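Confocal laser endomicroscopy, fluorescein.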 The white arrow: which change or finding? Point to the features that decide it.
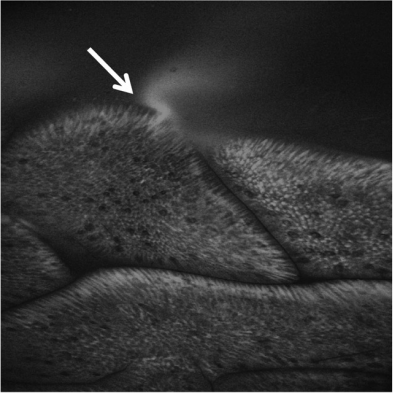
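The arrow points to one small spot in the epithelial rim of a villus. A pale bright haze spreads from that spot into the dark lumen.
Conclusion: single cell defect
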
